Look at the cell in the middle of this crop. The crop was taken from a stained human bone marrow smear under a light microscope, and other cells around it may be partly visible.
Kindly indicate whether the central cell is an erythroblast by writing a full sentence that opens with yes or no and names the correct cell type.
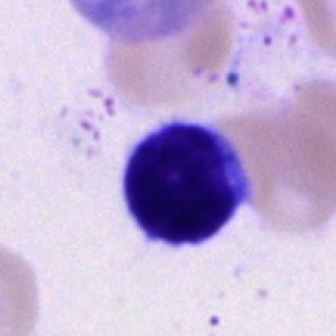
No, the cell under consideration is a lymphocyte instead of an erythroblast.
